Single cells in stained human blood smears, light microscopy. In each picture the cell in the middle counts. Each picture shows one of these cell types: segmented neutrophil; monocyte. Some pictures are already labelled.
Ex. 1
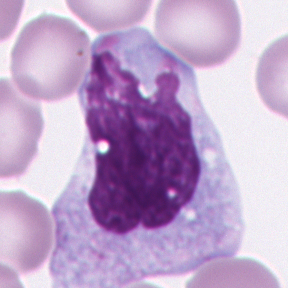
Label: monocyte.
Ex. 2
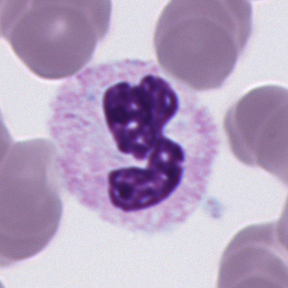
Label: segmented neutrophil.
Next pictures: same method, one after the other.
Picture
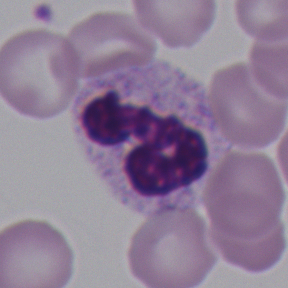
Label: segmented neutrophil.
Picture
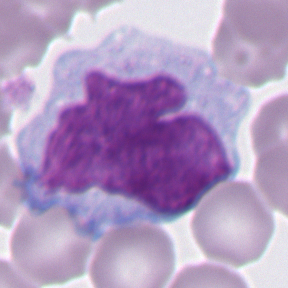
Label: monocyte.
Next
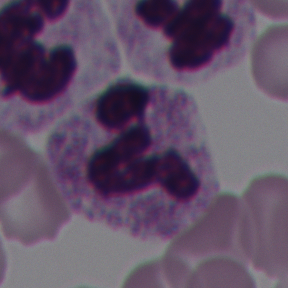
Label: segmented neutrophil.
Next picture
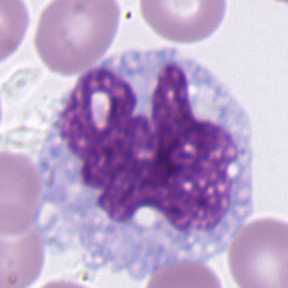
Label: monocyte.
